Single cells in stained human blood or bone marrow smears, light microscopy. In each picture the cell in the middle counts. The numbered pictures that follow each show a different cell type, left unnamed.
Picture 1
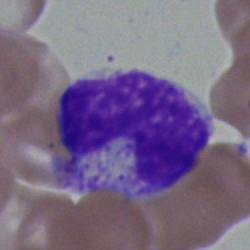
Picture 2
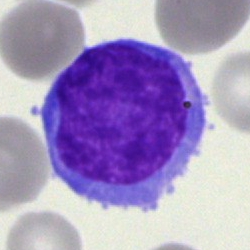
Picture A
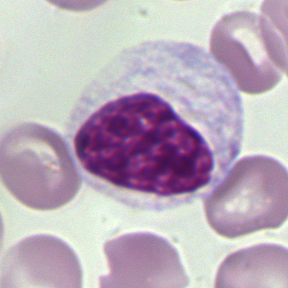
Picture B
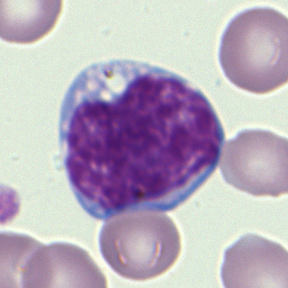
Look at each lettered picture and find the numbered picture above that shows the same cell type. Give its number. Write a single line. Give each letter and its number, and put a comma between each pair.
A 1, B 2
